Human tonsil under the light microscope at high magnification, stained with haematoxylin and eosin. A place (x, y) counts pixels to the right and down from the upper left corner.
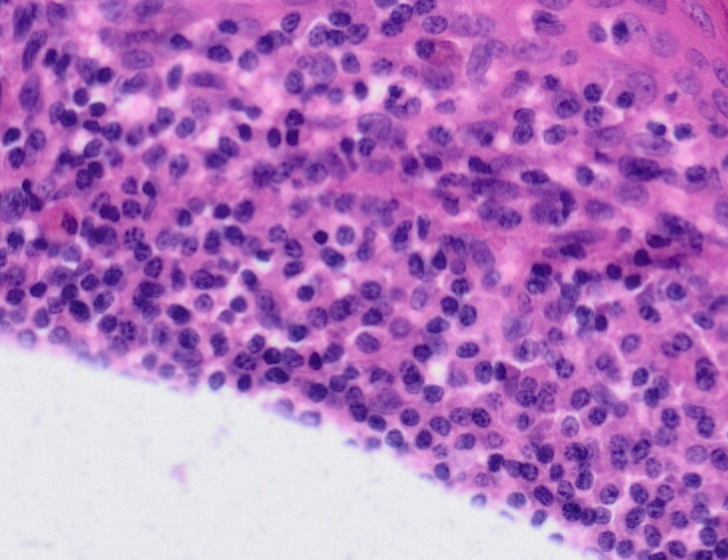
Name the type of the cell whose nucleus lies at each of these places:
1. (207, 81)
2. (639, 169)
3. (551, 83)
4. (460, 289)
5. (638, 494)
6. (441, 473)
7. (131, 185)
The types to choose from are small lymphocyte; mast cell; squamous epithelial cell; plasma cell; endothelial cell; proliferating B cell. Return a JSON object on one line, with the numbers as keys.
{"1": "squamous epithelial cell", "2": "squamous epithelial cell", "3": "squamous epithelial cell", "4": "plasma cell", "5": "plasma cell", "6": "small lymphocyte", "7": "plasma cell"}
